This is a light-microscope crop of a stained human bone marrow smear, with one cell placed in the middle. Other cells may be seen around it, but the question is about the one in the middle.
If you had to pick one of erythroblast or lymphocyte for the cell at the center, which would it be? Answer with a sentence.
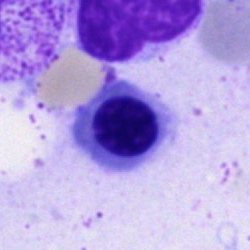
The central cell shown in this smear crop is an erythroblast.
